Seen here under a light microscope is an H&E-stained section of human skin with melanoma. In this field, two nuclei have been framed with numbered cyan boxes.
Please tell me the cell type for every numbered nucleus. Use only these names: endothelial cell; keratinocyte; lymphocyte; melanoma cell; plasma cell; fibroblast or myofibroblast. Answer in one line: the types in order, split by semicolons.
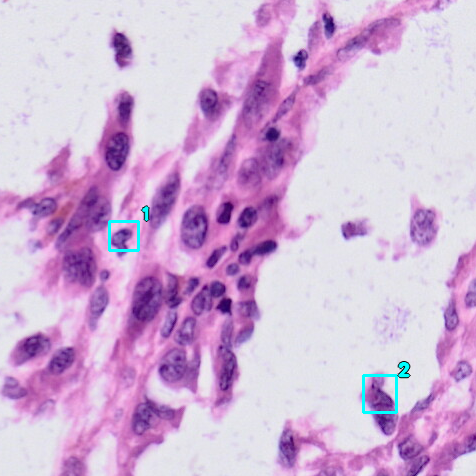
lymphocyte; melanoma cell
